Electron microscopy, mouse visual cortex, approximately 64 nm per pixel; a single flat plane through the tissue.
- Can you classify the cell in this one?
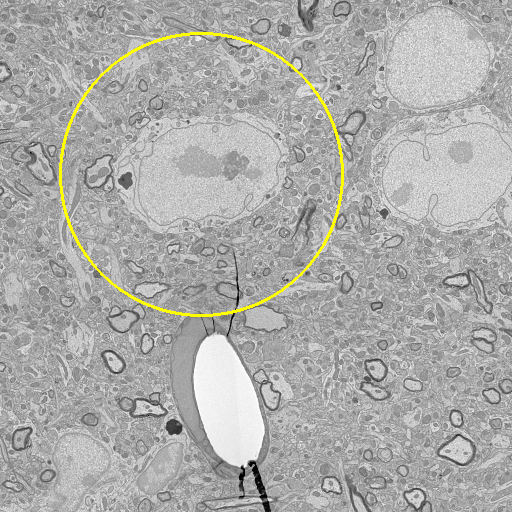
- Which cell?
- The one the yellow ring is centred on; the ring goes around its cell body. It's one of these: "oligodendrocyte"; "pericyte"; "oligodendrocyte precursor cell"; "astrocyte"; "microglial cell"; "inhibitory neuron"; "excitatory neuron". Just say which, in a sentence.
The cell body in the ring belongs to an inhibitory neuron.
